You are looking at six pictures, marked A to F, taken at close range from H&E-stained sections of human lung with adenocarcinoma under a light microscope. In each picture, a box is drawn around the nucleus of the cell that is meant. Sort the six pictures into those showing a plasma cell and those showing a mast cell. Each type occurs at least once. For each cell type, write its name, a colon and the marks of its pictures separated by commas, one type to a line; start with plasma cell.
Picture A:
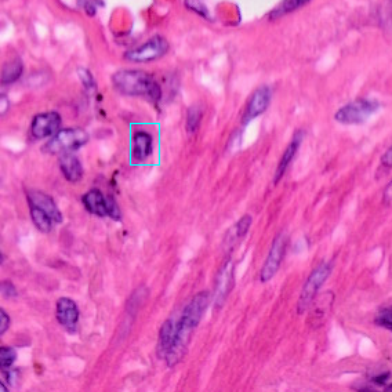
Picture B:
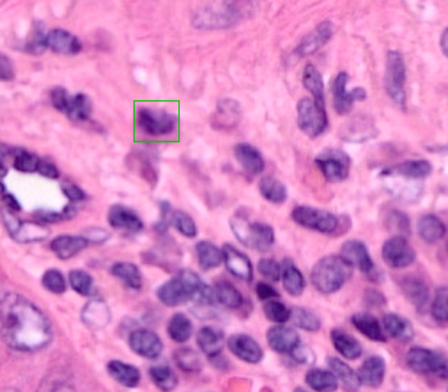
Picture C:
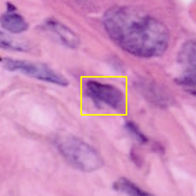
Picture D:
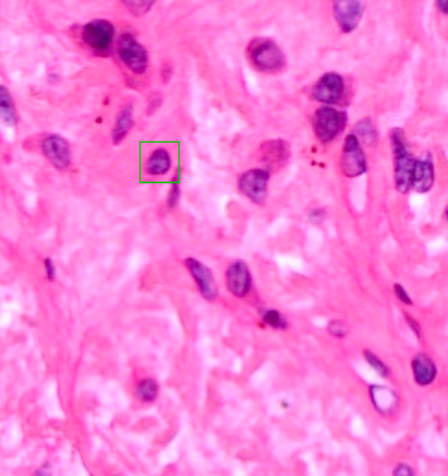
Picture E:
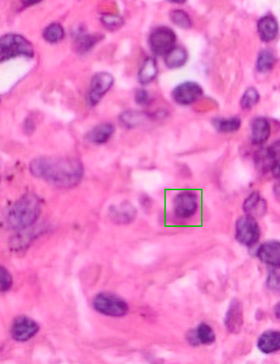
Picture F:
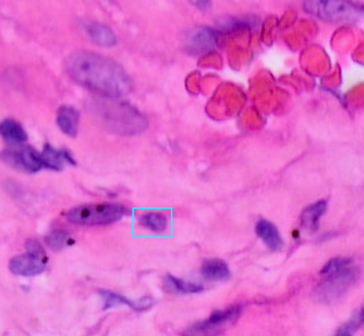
plasma cell: A, B, C, E
mast cell: D, F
